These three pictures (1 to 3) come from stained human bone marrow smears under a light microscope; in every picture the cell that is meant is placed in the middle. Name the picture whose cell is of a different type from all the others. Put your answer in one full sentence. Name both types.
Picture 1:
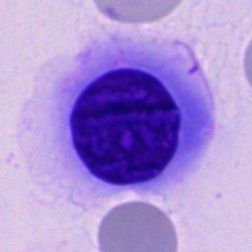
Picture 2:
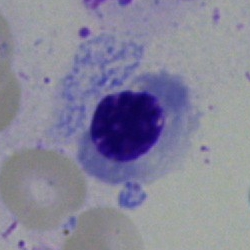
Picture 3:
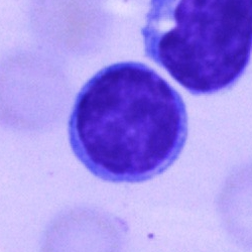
All pictures except 3 show erythroblasts; picture 3 shows a lymphocyte.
